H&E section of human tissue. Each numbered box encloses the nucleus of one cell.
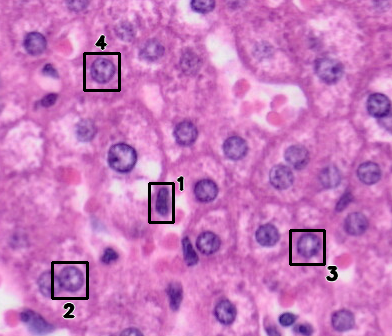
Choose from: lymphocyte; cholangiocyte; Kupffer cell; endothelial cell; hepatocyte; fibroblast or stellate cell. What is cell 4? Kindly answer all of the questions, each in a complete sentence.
The cell tagged with 4 in this tissue section is a hepatocyte.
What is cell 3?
The marked cell bearing number 3 is a hepatocyte.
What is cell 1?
The cell assigned the number 1 is a Kupffer cell.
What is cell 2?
The cell indicated with the number 2 is classed as a hepatocyte.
